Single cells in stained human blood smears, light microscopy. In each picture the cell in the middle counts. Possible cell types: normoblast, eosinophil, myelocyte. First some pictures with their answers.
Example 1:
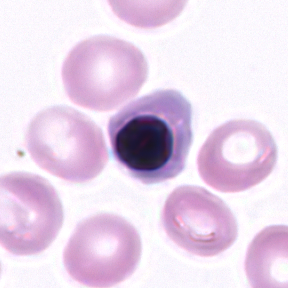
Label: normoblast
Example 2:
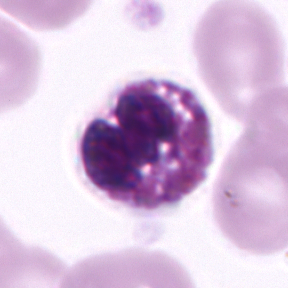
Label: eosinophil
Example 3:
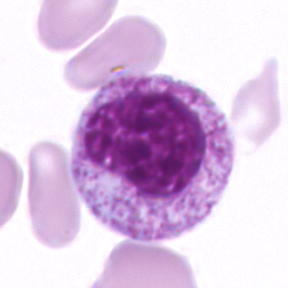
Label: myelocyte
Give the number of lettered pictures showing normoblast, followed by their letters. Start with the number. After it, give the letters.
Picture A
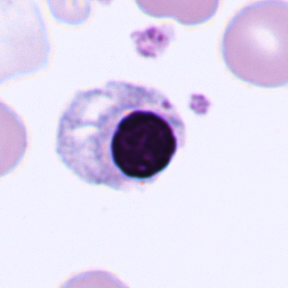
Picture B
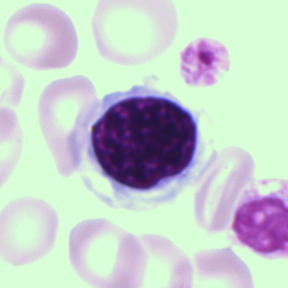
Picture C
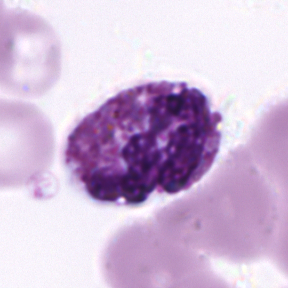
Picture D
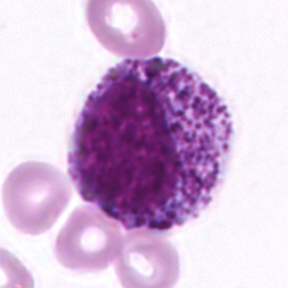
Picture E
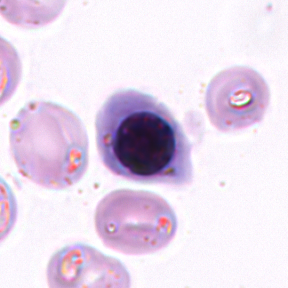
3, namely A, B, E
